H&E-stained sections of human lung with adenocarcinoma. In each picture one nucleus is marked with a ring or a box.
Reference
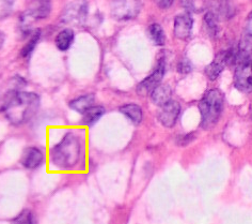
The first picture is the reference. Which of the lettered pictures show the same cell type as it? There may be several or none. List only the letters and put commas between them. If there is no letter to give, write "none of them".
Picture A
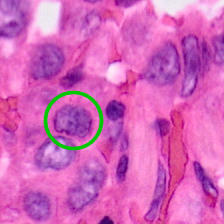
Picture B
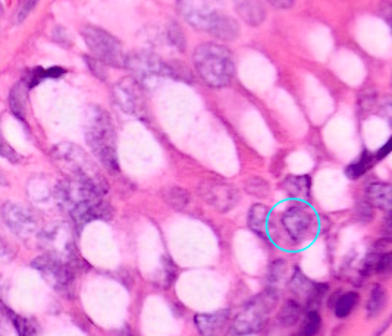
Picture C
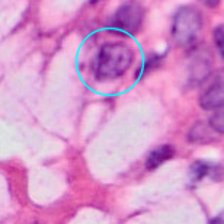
B, C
